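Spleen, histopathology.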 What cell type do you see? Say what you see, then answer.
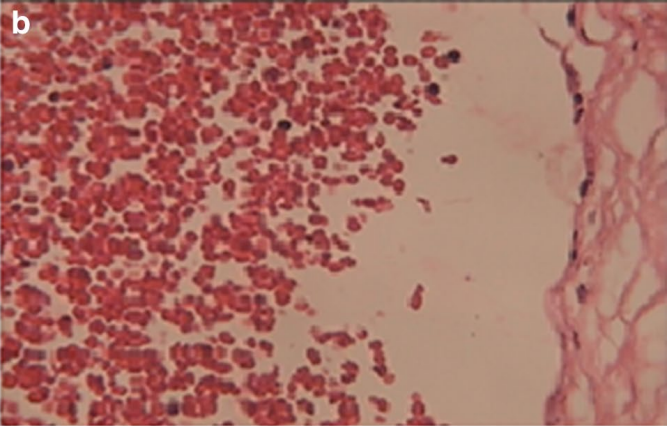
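A space packed with red blood cells. Flattened cells with elongated dark nuclei along thin pink fibrous tissue at the right edge of the space. The answer: endothelial-like cells.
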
